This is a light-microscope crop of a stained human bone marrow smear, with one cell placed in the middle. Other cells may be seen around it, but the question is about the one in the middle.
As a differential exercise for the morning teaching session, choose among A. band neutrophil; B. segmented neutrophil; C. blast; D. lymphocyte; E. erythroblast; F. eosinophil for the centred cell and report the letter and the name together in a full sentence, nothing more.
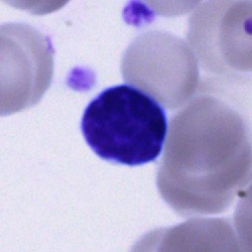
The central cell in this crop is a lymphocyte, so the correct choice is option D.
